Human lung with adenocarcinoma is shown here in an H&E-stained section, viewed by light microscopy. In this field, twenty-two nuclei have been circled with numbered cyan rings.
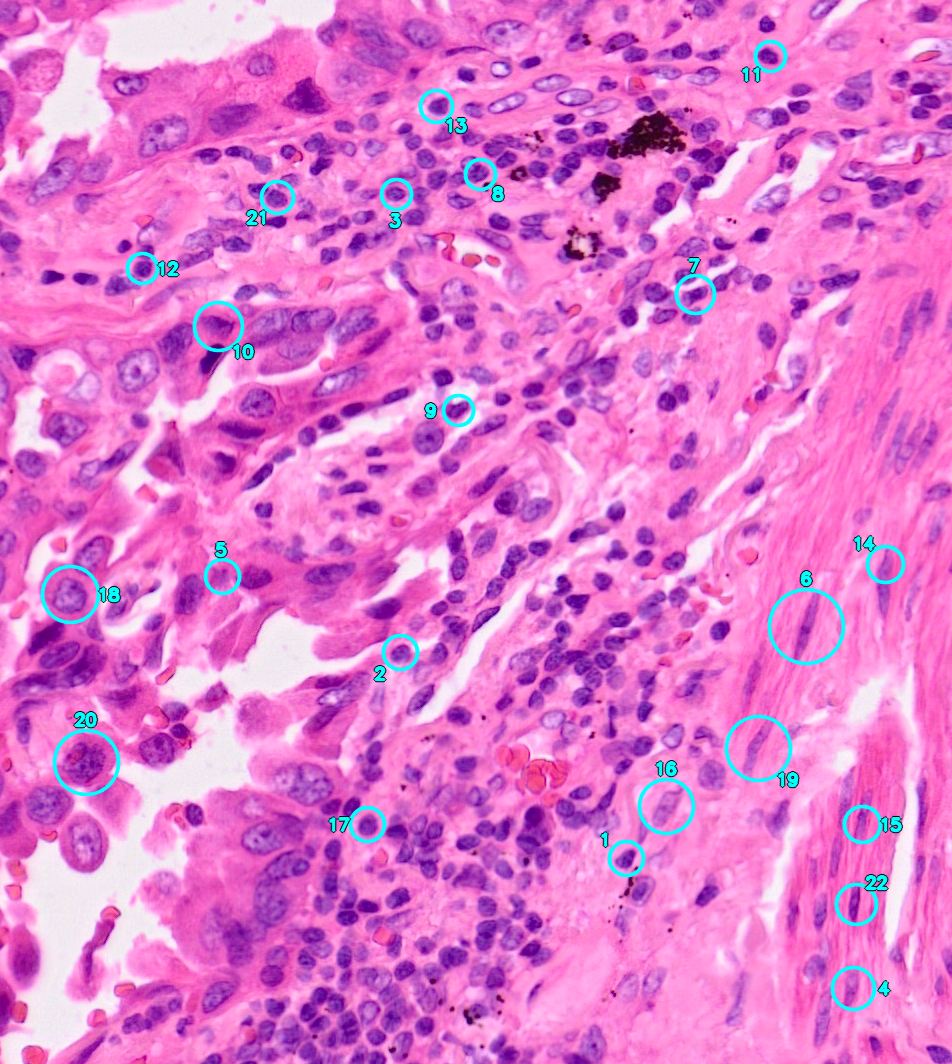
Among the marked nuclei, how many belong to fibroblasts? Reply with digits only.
1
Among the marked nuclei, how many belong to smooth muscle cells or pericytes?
6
